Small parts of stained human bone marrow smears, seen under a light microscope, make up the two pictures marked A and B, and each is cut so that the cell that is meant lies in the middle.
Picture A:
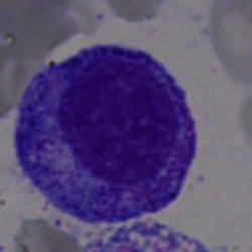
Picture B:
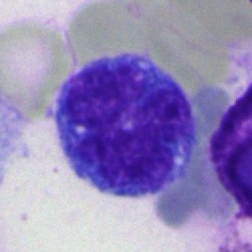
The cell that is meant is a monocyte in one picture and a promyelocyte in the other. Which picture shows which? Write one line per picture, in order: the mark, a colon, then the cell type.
A: promyelocyte
B: monocyte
